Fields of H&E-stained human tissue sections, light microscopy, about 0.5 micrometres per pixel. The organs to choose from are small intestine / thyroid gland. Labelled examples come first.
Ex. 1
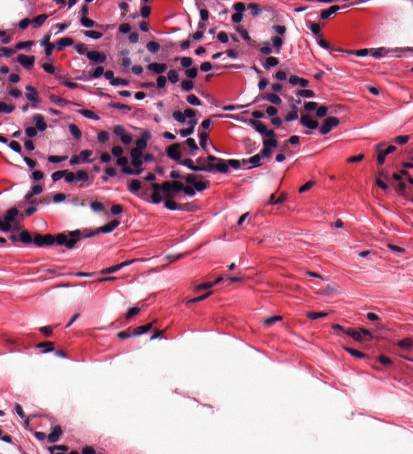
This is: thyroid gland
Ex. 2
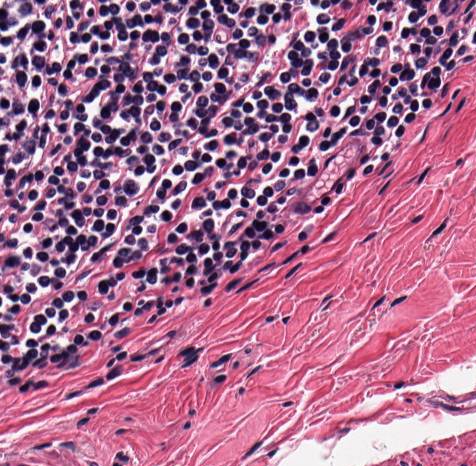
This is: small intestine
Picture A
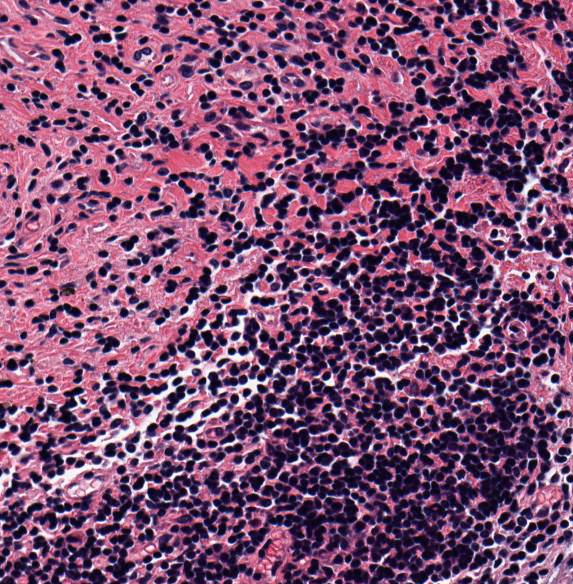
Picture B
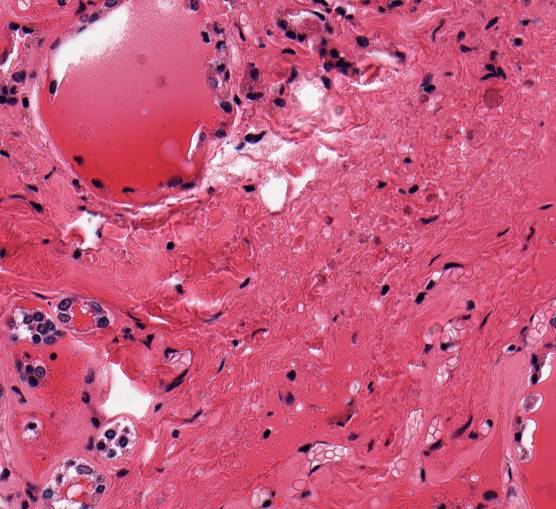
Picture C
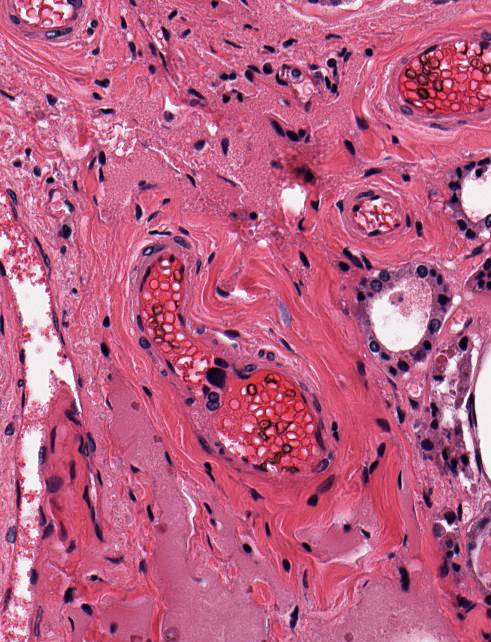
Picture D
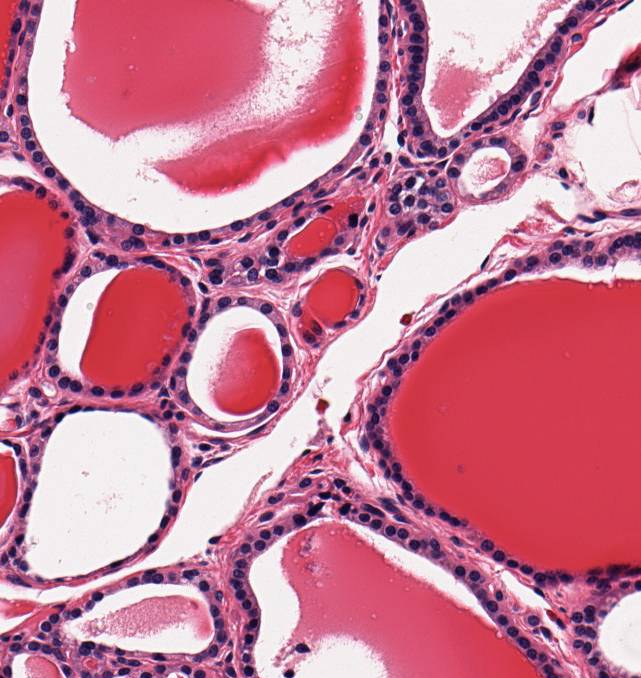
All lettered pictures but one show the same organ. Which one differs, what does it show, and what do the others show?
A: small intestine; all the others: thyroid gland.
